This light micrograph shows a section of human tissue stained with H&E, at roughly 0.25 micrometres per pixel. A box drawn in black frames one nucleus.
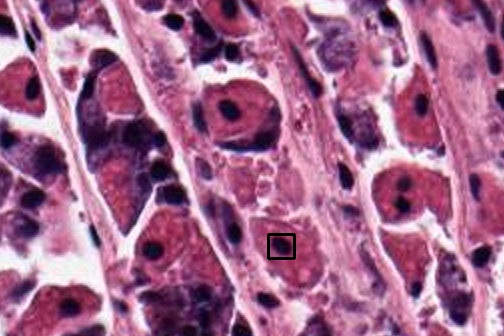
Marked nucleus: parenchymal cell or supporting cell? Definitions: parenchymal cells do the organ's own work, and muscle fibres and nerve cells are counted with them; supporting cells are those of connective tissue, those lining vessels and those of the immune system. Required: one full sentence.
Of the parenchymal cells, the one holding the marked nucleus is a parietal cell.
